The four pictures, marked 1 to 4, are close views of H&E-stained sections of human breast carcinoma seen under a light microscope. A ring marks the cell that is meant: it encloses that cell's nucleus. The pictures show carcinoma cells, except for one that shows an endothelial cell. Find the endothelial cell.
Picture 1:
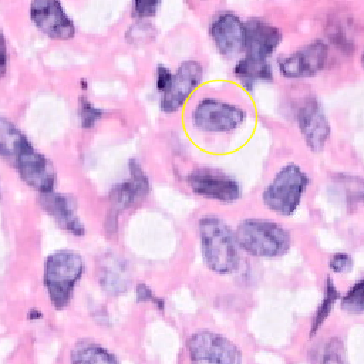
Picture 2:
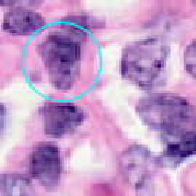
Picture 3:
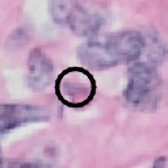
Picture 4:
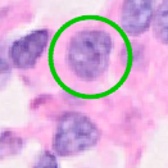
3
